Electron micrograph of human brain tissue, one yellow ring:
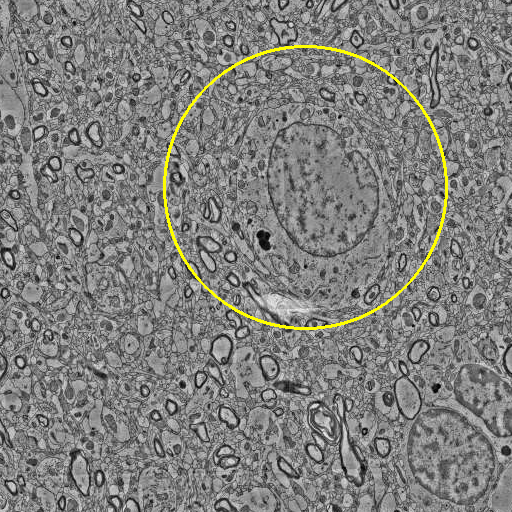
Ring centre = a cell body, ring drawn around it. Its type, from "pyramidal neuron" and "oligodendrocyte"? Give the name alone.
pyramidal neuron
